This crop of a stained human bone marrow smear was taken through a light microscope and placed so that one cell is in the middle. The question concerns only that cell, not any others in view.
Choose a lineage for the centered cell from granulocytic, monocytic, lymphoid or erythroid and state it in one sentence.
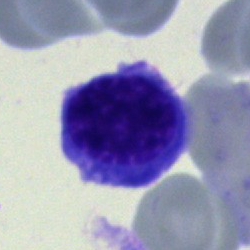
The middle cell of the crop arises from the erythroid lineage.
